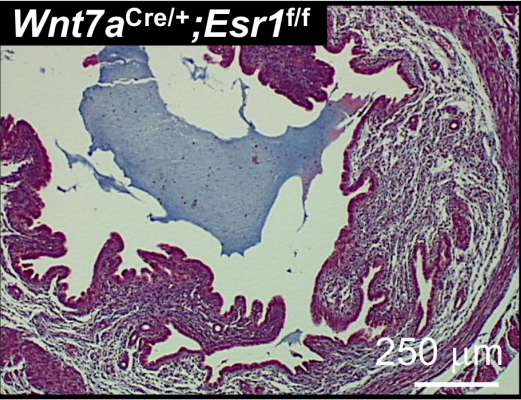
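A uterine cross-section shows a lumen lined by a folded epithelium stained red. Much of the lumen is filled with a homogeneous, pale blue material. The surrounding wall contains a looser, paler stroma with wavy fibrous strands, and red-stained tissue runs around the outer part of the section.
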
